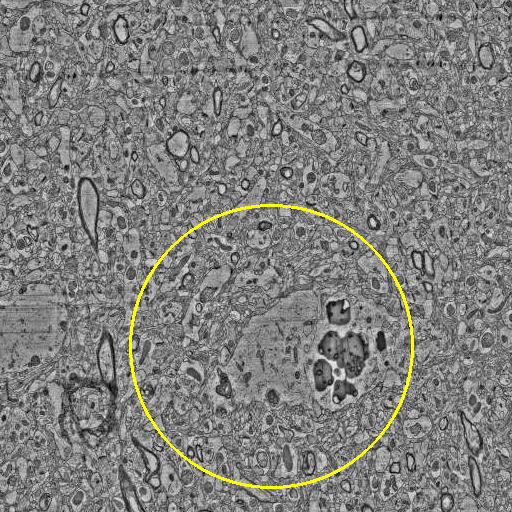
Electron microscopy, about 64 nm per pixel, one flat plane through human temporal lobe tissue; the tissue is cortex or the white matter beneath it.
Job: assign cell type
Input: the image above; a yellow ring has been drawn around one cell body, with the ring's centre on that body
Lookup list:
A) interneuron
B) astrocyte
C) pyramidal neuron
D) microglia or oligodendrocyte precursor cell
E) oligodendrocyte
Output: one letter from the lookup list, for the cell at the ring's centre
D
